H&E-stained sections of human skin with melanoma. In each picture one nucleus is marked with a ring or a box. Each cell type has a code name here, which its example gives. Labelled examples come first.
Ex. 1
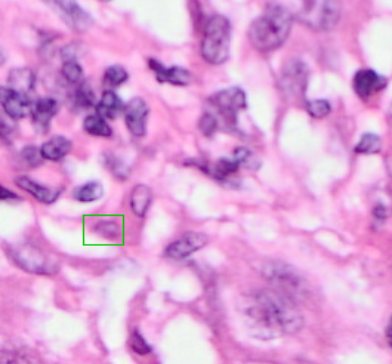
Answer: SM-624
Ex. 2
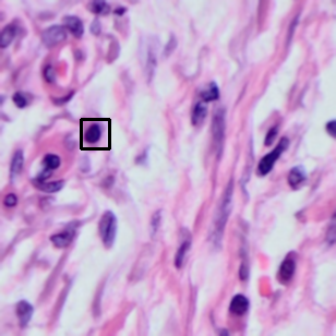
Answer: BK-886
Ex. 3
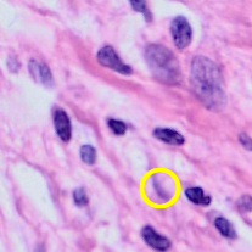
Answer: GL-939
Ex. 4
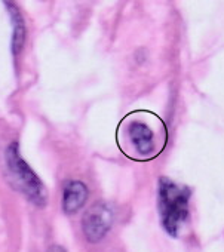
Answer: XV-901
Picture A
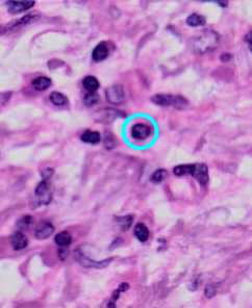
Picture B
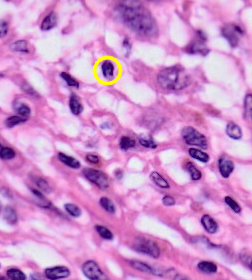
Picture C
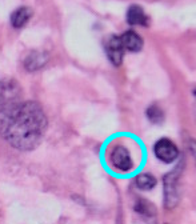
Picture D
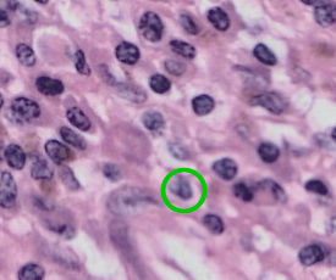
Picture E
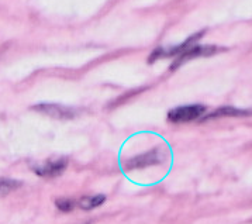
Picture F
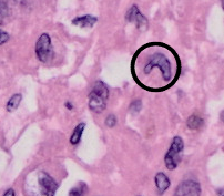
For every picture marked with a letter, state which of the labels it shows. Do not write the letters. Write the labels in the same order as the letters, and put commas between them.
BK-886, XV-901, XV-901, XV-901, GL-939, SM-624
